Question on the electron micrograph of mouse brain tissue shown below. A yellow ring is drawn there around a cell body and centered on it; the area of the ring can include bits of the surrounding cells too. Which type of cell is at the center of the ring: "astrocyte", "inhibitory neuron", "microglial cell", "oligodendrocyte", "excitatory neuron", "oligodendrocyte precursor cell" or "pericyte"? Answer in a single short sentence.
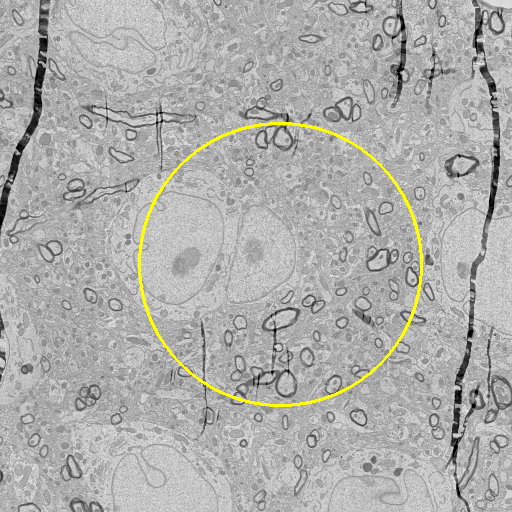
The ring is centered on an oligodendrocyte precursor cell.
